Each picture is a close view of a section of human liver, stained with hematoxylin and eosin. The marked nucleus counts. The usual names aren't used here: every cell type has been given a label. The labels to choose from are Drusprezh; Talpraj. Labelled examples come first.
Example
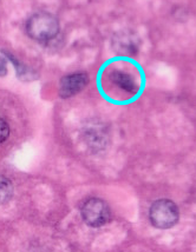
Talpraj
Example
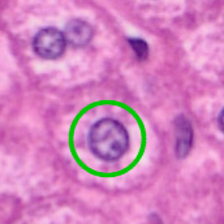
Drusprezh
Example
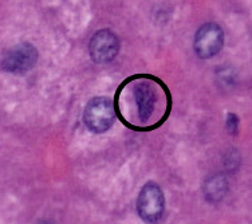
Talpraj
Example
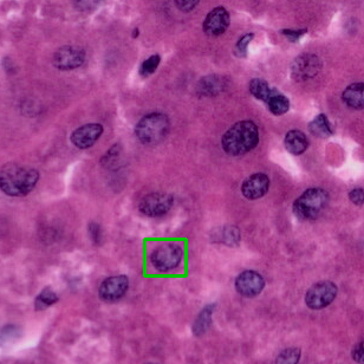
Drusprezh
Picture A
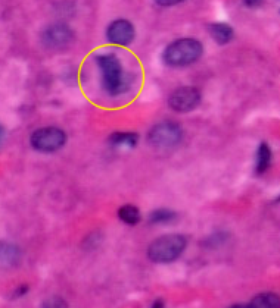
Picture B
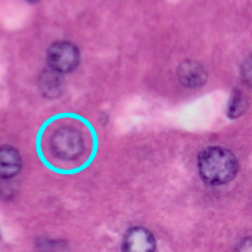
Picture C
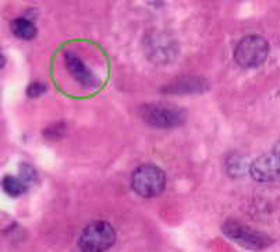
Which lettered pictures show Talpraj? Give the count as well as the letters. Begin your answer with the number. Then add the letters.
Count: 2 (A, C)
